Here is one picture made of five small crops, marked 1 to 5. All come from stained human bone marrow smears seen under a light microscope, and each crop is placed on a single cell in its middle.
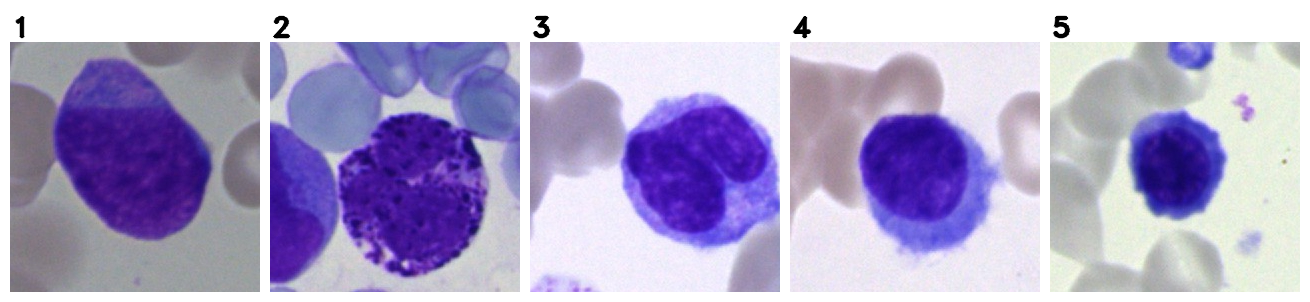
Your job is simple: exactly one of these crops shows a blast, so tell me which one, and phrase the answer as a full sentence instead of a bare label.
On review of the set, crop 1 is the one showing a blast.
